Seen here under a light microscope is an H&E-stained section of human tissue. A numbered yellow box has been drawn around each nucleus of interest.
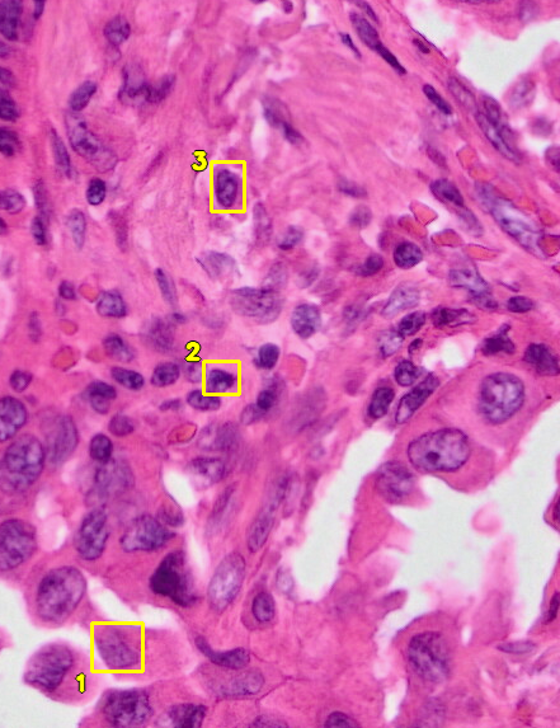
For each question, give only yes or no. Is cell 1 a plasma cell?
no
